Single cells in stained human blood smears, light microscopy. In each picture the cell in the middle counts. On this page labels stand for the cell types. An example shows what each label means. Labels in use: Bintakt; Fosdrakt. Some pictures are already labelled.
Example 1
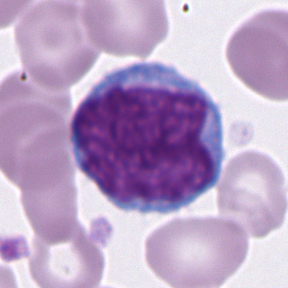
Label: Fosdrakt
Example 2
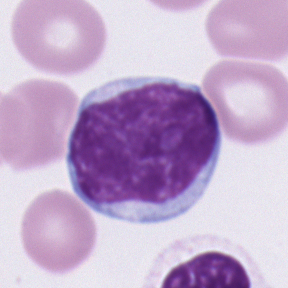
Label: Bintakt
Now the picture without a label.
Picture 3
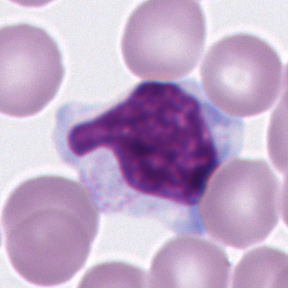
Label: Bintakt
